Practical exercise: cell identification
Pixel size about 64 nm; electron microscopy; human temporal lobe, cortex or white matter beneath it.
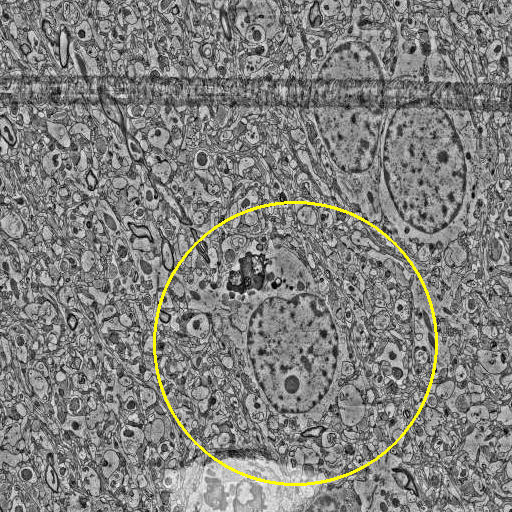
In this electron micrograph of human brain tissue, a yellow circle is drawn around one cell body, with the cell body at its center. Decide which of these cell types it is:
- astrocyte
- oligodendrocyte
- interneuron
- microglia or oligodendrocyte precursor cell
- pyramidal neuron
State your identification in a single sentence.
The ringed cell is an astrocyte.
